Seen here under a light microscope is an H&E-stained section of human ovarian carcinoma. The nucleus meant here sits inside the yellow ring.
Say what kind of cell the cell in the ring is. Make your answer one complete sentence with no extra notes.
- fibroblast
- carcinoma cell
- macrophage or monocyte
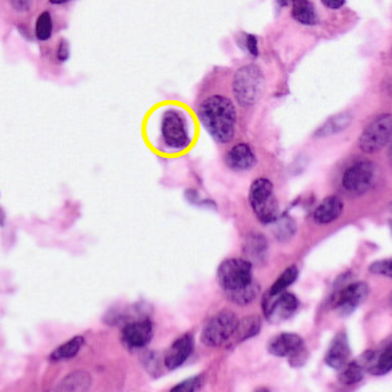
In terms of identity, the cell in the ring is a carcinoma cell.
